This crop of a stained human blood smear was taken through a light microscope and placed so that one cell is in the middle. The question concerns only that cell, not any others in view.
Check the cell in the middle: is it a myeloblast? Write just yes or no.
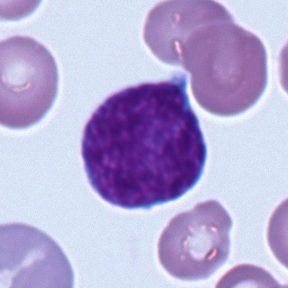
yes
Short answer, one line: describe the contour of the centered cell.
Smoothness is lacking at the edge, which is ragged in places or drawn into projections.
